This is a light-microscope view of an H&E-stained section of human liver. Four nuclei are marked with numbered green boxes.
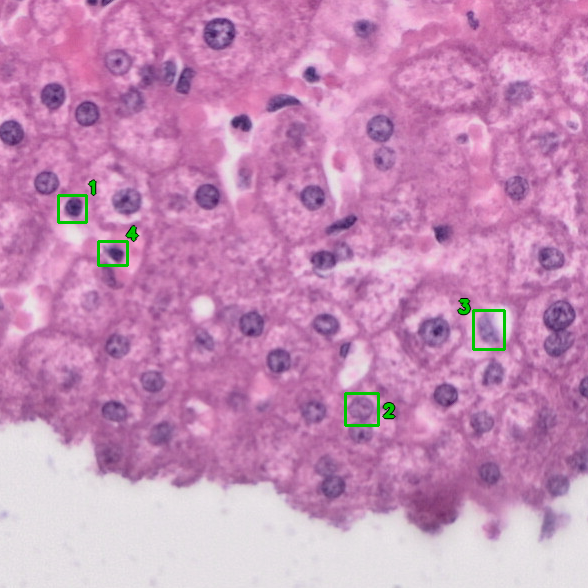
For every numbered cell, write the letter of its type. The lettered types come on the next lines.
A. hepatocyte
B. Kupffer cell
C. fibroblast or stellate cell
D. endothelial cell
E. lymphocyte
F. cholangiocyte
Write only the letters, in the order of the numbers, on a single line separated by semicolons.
E; A; B; E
